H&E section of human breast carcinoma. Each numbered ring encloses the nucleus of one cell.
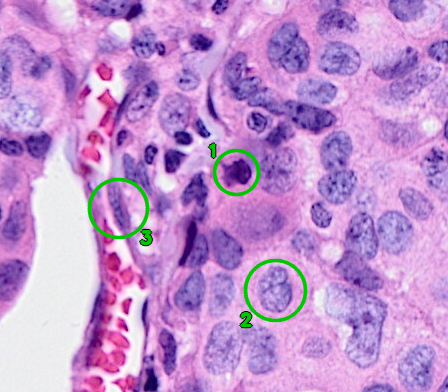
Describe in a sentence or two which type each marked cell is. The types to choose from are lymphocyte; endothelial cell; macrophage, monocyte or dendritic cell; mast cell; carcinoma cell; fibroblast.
Cell 1 is a carcinoma cell, cell 2 is a carcinoma cell and cell 3 is an endothelial cell.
